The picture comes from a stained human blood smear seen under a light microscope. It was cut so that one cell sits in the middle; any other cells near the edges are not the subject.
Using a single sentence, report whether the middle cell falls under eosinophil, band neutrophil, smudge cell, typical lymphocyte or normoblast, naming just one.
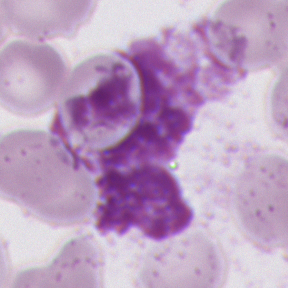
The cell featured at the centre of this crop is a smudge cell.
